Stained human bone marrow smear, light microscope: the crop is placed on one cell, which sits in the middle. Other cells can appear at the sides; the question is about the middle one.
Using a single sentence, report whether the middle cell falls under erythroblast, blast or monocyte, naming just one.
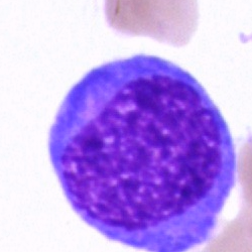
Standing at the centre of this crop is an erythroblast.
